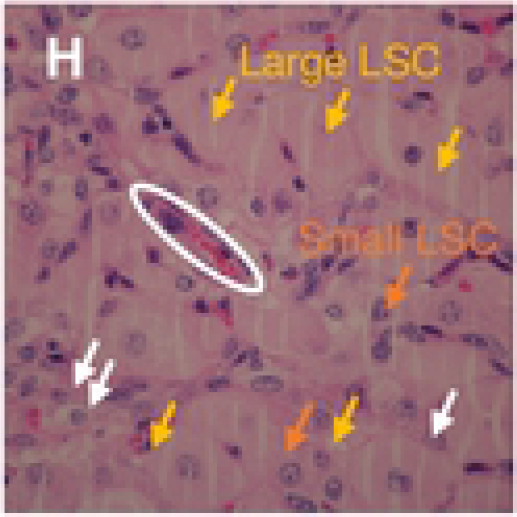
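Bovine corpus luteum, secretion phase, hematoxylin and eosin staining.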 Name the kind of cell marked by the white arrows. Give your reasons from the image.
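Luteal endothelial cells. These cells lie between the larger pale polygonal cells.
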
